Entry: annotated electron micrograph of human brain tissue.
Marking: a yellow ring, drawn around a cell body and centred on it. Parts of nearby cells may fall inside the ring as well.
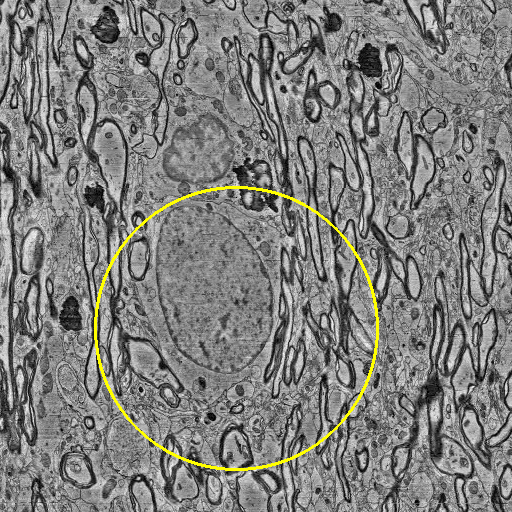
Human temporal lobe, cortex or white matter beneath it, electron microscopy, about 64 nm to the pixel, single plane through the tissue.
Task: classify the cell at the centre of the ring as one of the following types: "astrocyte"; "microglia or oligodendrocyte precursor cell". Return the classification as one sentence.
The marked cell is classified as an astrocyte.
